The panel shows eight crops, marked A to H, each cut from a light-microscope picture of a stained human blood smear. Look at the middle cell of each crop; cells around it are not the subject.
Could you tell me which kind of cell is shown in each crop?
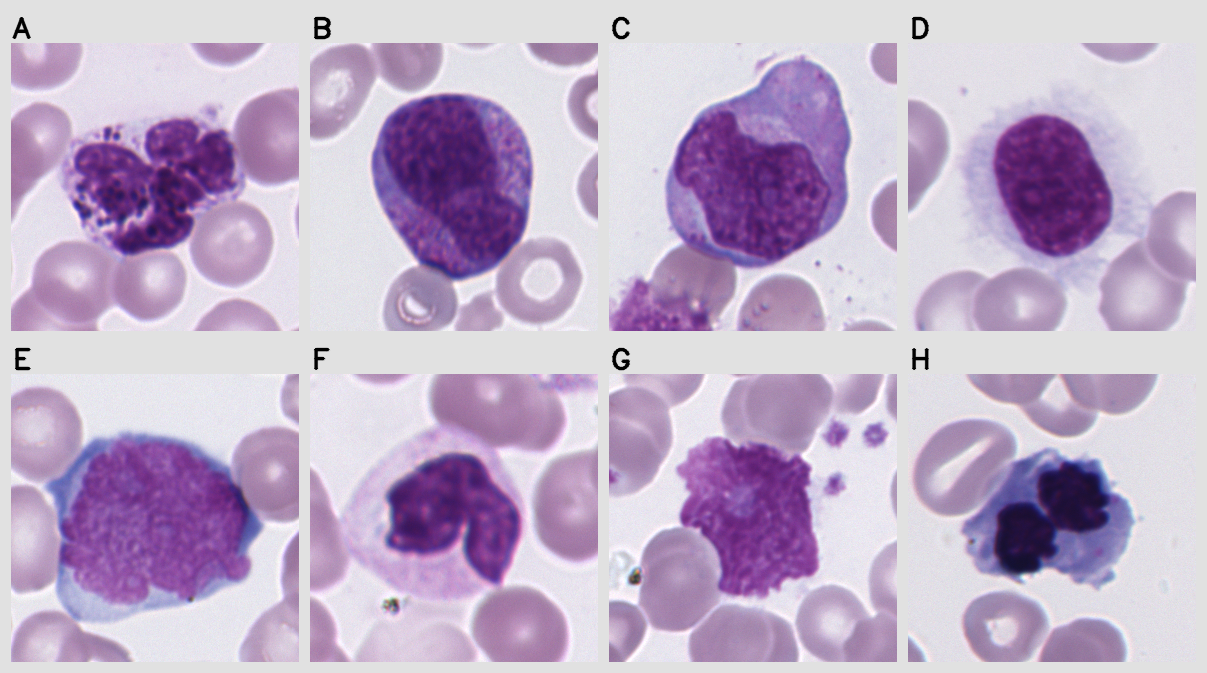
A: basophil
B: atypical promyelocyte
C: atypical promyelocyte
D: hairy cell
E: myeloblast
F: band neutrophil
G: smudge cell
H: normoblast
